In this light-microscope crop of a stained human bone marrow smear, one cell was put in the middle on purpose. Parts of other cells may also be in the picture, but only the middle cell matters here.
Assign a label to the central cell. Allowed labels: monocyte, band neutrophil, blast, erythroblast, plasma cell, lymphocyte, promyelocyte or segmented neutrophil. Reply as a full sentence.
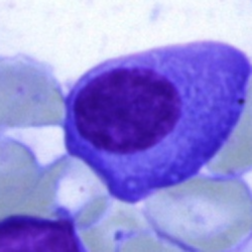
The crop's centre is taken up by a plasma cell.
